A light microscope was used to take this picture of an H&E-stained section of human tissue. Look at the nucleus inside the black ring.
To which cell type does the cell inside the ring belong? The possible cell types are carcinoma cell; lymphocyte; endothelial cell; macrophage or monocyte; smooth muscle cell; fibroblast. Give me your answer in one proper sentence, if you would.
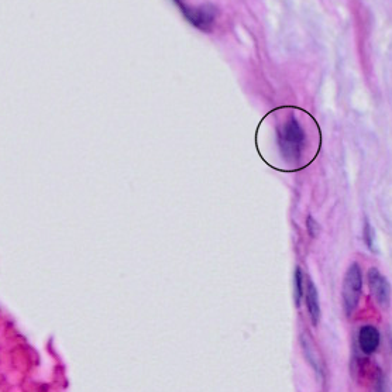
In the context of this tissue, the cell inside the ring is an endothelial cell.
